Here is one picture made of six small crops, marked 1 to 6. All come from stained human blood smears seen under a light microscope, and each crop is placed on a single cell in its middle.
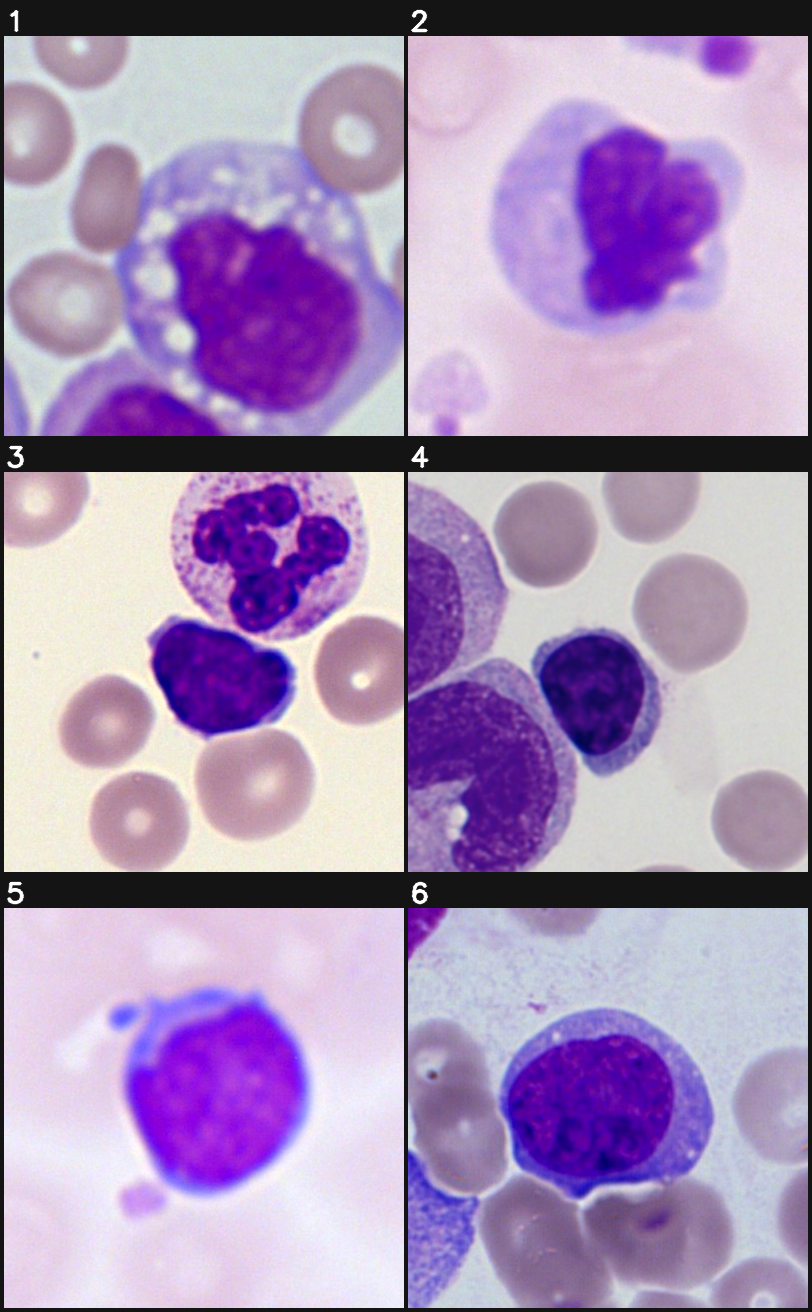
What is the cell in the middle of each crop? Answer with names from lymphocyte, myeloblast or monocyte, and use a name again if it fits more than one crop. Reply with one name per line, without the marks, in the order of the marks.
monocyte
monocyte
lymphocyte
lymphocyte
myeloblast
myeloblast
